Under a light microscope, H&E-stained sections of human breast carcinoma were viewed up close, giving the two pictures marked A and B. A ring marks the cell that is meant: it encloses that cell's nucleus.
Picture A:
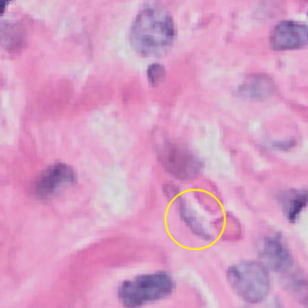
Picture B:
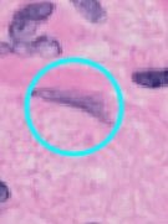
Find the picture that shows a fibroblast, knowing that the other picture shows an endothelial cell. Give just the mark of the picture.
B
